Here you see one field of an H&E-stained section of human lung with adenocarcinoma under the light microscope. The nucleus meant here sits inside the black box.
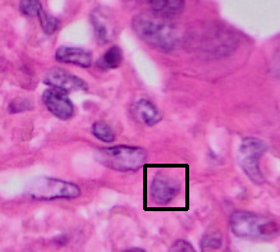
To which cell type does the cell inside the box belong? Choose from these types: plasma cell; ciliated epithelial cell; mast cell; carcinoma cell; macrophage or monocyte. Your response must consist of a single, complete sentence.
Microscopically, the cell inside the box is categorized as a mast cell.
